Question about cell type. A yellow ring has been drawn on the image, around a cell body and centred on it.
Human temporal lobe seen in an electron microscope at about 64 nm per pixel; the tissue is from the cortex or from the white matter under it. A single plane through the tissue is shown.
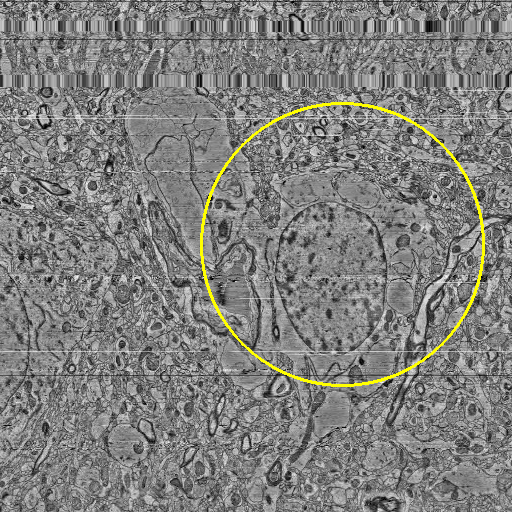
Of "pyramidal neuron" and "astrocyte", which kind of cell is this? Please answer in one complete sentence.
At the centre of the ring lies an astrocyte.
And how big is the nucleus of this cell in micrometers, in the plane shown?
Approximately 10 micrometres long and 7 micrometres wide, in this plane.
